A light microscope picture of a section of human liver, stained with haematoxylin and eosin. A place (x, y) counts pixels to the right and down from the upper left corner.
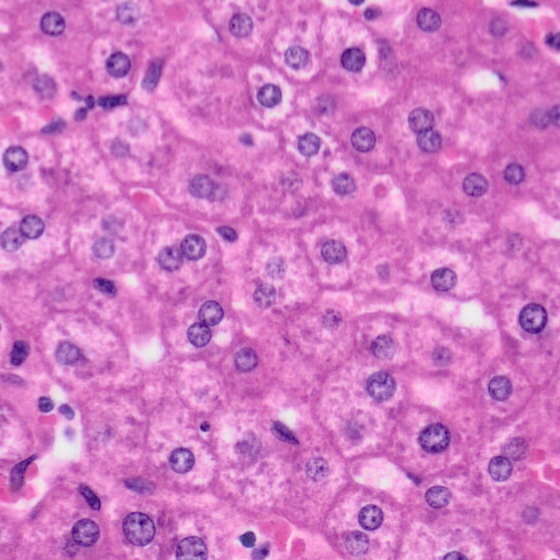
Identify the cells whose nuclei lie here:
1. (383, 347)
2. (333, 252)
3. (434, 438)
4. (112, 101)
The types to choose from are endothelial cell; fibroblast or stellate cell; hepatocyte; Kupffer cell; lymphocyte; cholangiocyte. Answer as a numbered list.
1. hepatocyte
2. hepatocyte
3. hepatocyte
4. fibroblast or stellate cell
